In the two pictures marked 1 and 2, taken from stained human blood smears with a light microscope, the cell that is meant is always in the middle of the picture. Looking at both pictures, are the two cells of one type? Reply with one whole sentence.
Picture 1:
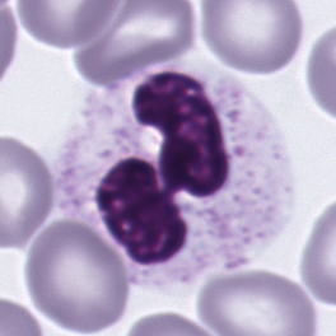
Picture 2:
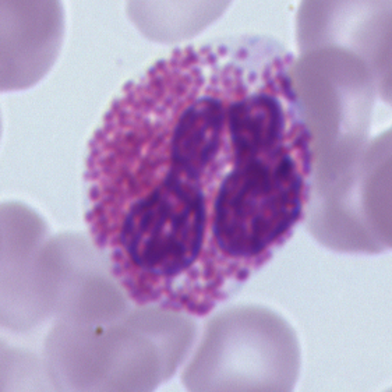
No, they differ: the cell is a segmented neutrophil in picture 1 and an eosinophil in picture 2.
